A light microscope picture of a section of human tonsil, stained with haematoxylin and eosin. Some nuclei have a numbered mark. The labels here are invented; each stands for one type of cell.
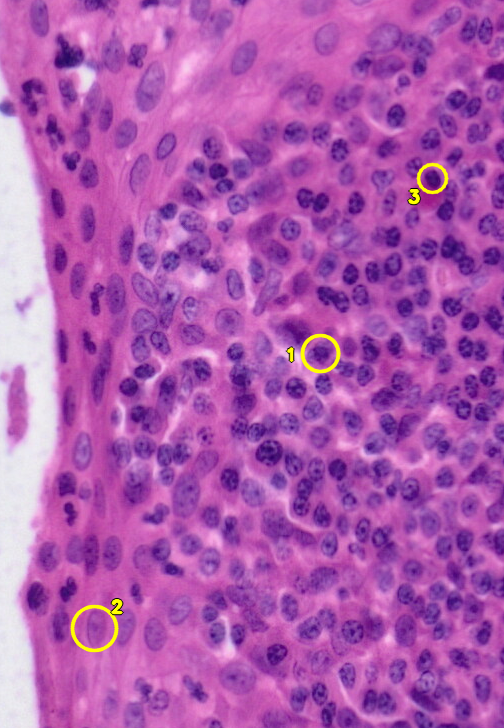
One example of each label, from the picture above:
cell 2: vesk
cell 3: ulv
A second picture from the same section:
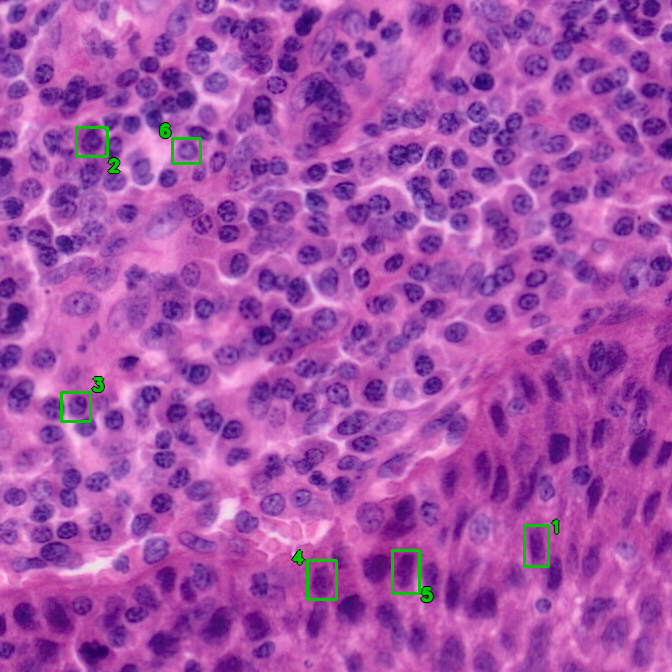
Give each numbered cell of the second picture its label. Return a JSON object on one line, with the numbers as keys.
{"1": "vesk", "2": "ulv", "3": "ulv", "4": "vesk", "5": "vesk", "6": "ulv"}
